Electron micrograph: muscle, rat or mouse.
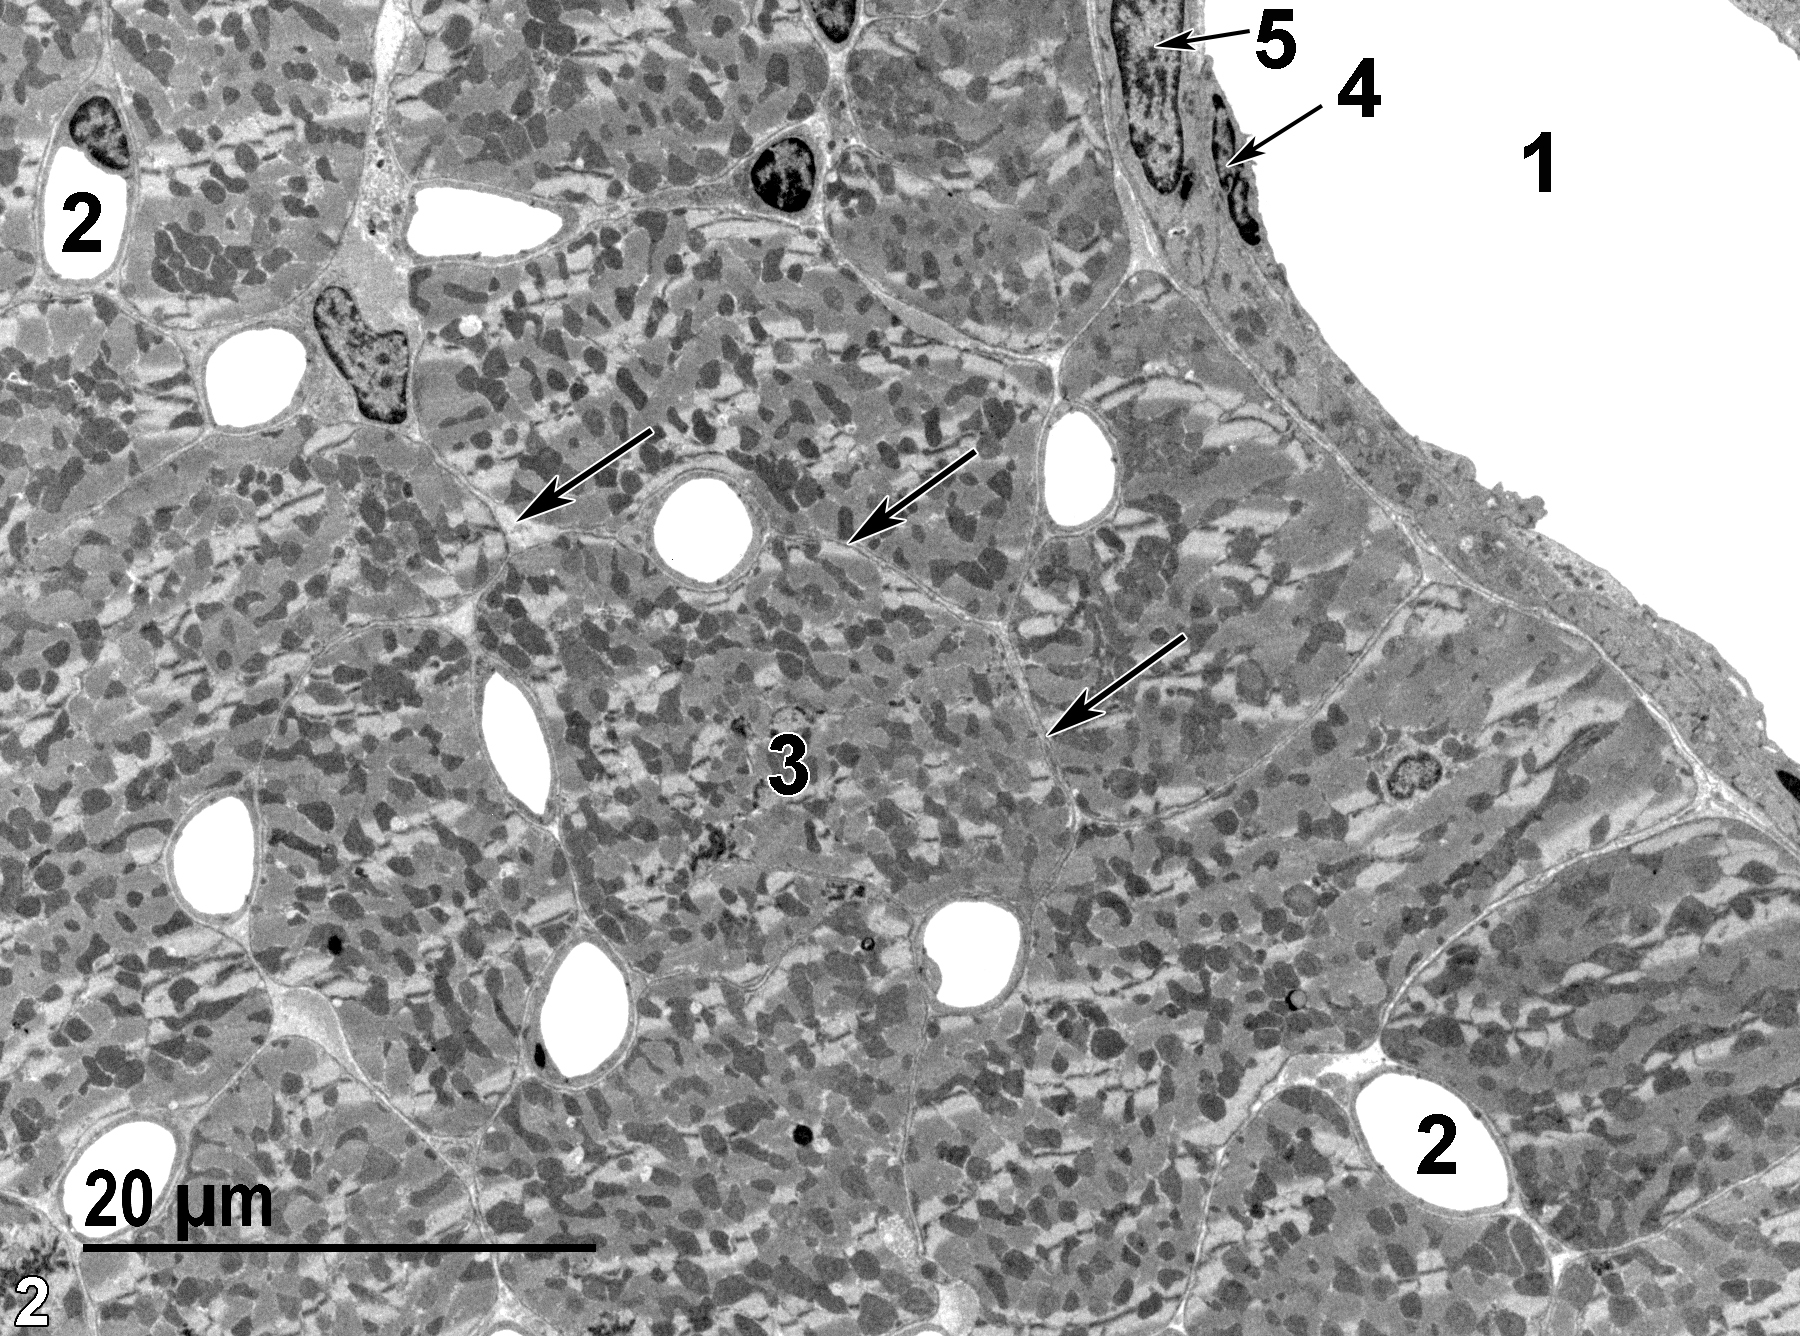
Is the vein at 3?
No. The myocyte cell.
